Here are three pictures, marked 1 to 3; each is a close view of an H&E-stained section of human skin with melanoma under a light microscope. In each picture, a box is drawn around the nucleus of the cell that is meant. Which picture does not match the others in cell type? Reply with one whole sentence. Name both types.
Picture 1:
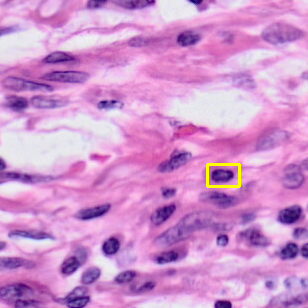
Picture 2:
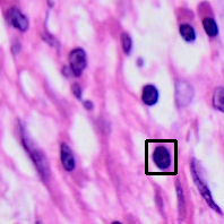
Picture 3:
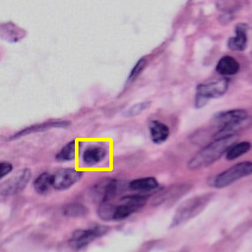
The others show plasma cells, but picture 3 shows a lymphocyte.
